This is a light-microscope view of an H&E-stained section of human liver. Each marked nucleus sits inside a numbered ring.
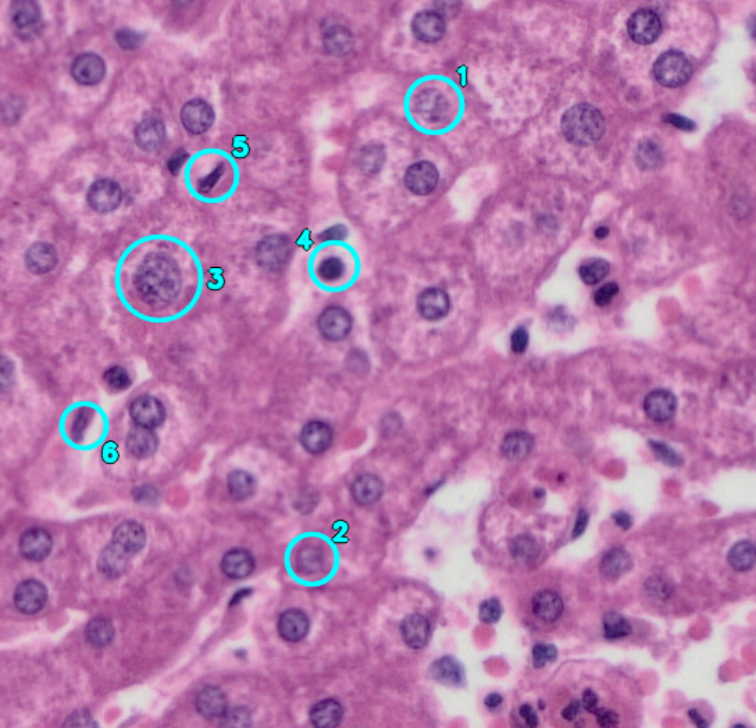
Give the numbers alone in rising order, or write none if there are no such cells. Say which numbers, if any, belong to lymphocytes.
4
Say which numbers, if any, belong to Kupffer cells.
6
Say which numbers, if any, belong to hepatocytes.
1, 2, 3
